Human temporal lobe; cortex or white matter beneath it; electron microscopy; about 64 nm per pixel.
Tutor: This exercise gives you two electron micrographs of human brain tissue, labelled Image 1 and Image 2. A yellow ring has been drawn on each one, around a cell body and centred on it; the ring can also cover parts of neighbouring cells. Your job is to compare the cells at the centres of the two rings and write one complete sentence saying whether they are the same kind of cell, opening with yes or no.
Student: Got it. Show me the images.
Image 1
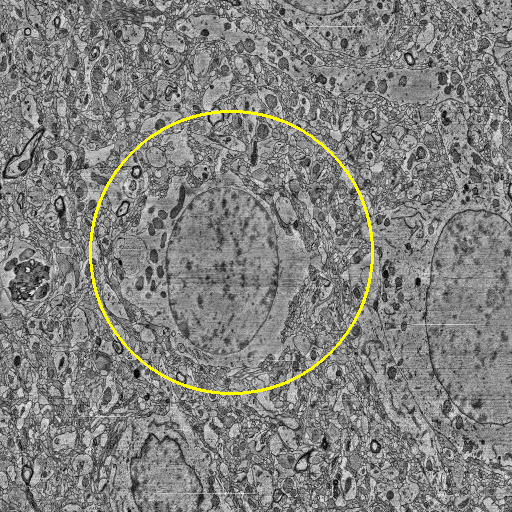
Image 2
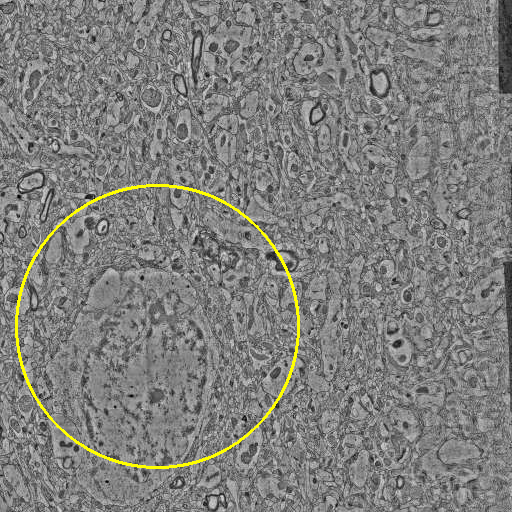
No, the two cells belong to two kinds.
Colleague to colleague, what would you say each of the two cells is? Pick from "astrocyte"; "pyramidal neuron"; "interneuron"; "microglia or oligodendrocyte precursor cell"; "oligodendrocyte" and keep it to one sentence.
The cell in the first picture is an astrocyte; the second picture's cell is an interneuron.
